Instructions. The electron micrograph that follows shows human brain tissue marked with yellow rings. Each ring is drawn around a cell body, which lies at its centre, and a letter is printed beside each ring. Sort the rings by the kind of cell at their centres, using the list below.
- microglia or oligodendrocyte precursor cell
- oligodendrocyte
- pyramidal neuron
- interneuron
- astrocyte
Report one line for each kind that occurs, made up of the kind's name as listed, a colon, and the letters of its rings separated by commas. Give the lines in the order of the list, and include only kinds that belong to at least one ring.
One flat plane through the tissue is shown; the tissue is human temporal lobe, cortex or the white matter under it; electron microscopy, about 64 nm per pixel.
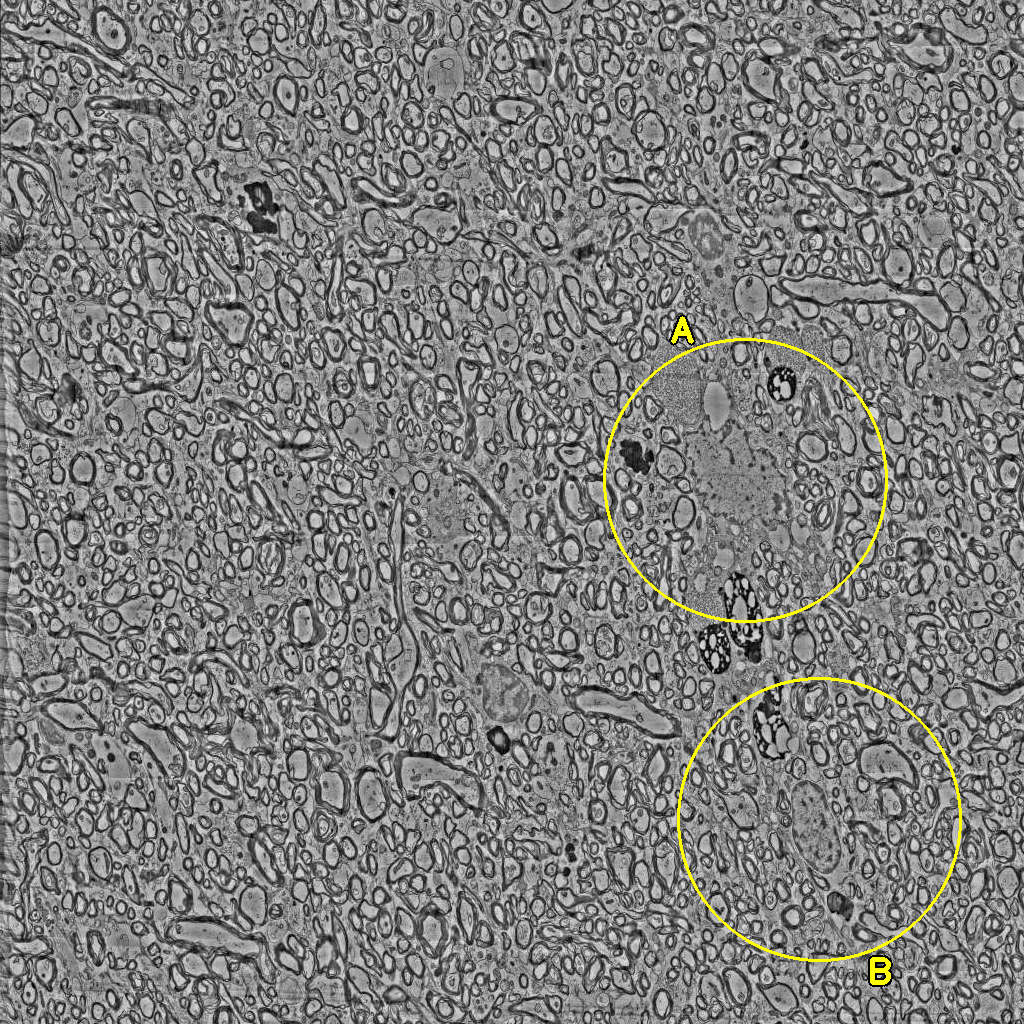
microglia or oligodendrocyte precursor cell: B
astrocyte: A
